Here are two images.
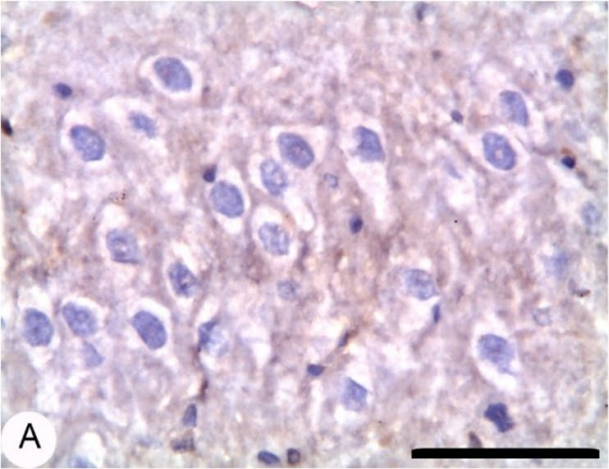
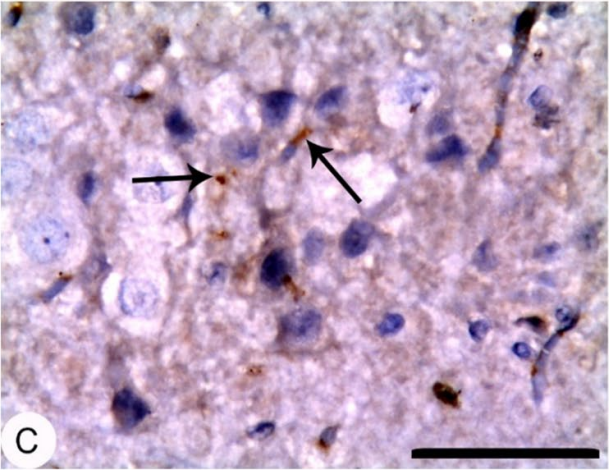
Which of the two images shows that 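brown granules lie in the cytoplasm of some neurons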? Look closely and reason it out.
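The second image. Second image: scattered dark brown granules sit beside several blue nuclei. First image: neurons show only blue nuclei in faintly tan background, without distinct brown granules.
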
